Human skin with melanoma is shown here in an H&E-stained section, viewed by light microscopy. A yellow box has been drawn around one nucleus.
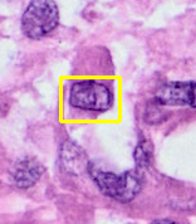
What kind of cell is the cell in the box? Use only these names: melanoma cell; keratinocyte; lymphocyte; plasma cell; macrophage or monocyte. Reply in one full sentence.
As for its identity, the cell in the box is a melanoma cell.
